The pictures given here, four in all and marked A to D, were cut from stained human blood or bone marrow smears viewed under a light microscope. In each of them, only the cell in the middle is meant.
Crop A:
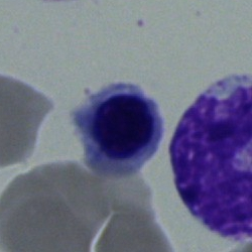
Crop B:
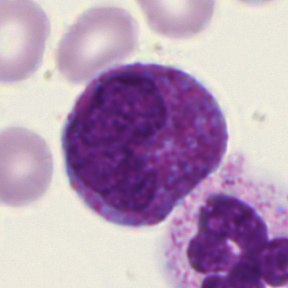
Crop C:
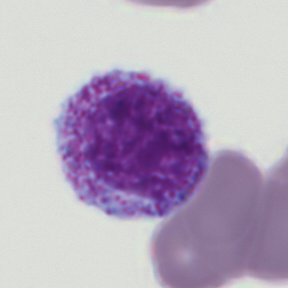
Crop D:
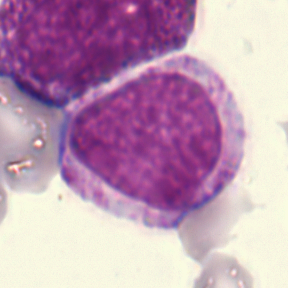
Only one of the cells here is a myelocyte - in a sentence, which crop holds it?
Crop C is the crop whose central cell is a myelocyte.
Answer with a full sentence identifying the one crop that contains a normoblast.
Only in crop A is a normoblast shown.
